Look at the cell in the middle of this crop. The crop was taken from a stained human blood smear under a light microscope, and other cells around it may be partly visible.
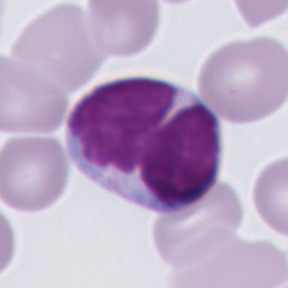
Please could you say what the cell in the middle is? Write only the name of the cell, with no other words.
large granular lymphocyte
